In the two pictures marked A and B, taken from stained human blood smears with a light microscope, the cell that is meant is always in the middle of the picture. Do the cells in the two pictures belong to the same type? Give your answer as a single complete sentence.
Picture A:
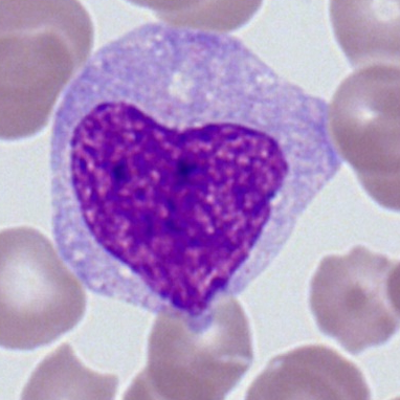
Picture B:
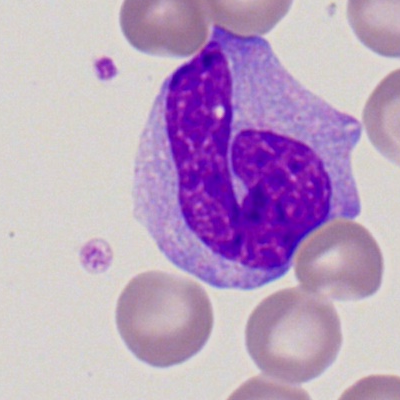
Yes, both are monocytes.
